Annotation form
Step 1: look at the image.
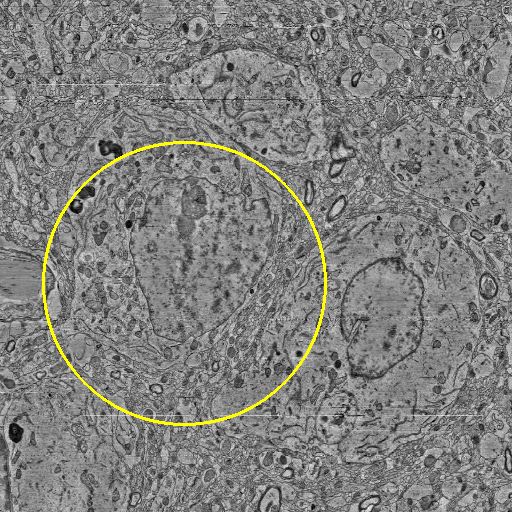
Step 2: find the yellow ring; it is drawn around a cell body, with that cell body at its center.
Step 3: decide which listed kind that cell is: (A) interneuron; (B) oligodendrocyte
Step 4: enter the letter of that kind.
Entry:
A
